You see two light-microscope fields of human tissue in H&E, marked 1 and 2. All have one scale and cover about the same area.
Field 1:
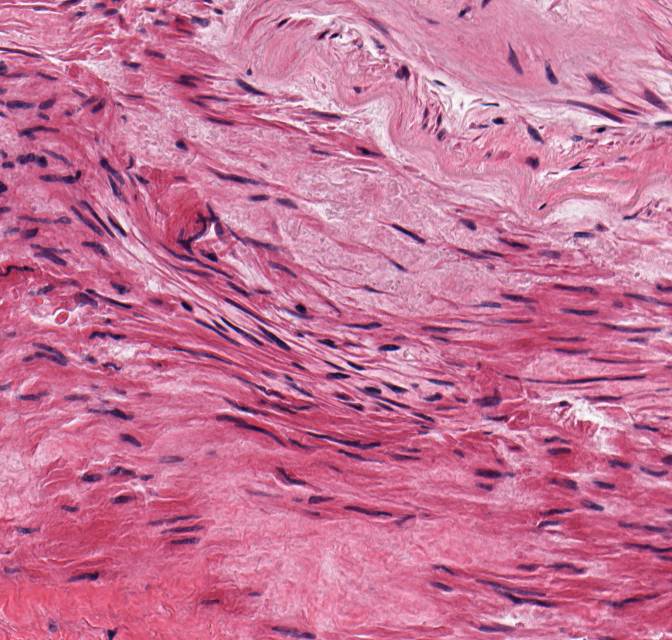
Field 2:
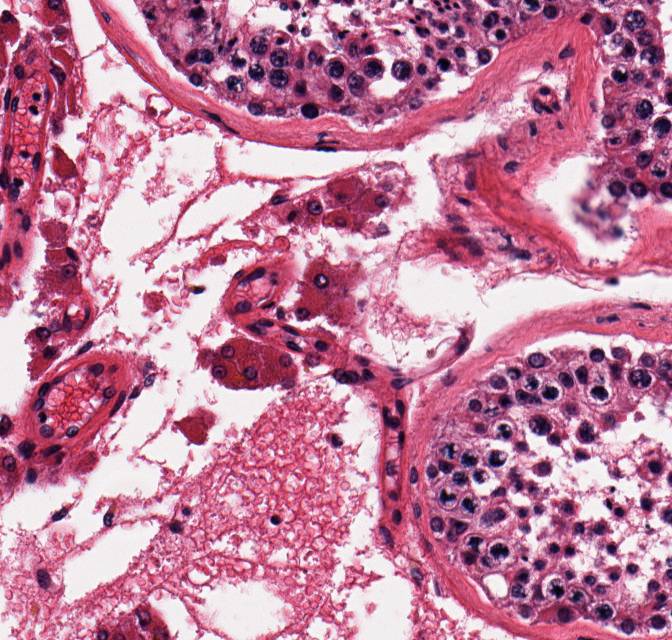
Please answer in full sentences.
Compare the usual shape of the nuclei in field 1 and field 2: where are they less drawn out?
On the whole the nuclei of field 2 are rounder than those of field 1.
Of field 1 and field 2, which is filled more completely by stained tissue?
Field 1 has less white space.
